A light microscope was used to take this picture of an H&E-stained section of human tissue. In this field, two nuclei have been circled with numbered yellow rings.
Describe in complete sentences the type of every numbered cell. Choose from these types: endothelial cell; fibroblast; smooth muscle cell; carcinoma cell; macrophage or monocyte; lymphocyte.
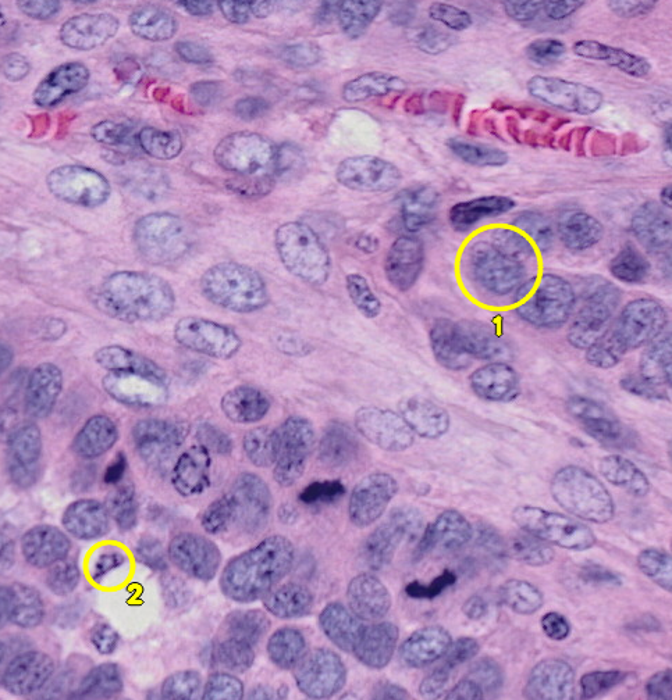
Cell 1 is a carcinoma cell. Cell 2 is a macrophage or monocyte.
